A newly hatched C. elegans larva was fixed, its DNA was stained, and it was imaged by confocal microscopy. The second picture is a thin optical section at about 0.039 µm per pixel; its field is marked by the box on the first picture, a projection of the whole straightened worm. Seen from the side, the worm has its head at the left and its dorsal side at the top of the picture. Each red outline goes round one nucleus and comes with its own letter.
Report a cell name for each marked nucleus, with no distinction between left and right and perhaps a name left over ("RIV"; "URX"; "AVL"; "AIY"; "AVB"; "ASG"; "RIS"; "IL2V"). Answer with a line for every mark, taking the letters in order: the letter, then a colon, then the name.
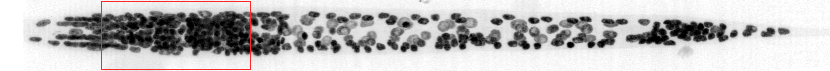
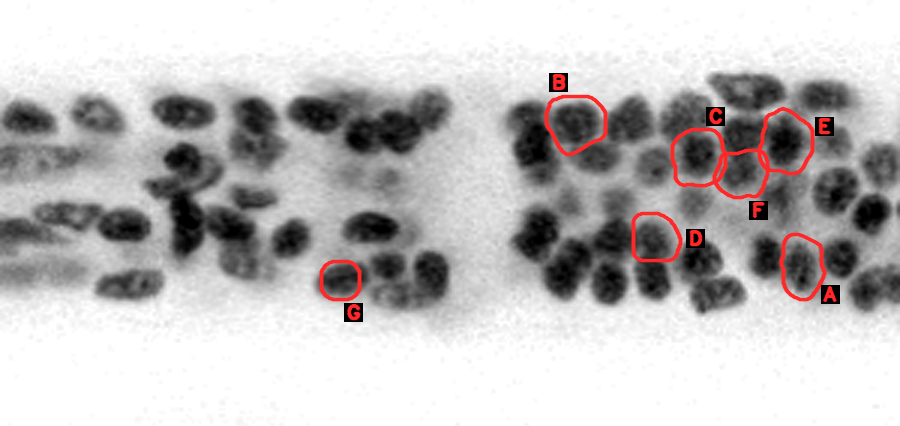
A: RIS
B: URX
C: ASG
D: AVL
E: RIV
F: AVB
G: IL2V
